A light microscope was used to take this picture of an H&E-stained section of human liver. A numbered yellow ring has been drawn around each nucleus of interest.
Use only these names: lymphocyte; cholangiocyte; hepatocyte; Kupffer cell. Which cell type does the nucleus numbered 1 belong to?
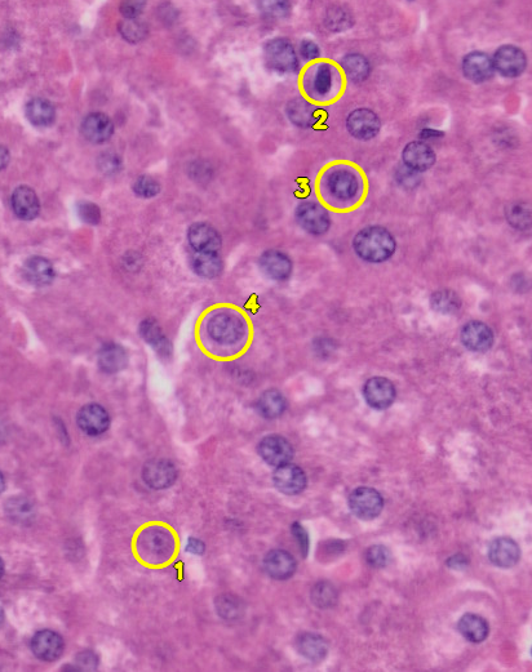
hepatocyte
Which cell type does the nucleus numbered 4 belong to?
hepatocyte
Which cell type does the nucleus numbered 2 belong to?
lymphocyte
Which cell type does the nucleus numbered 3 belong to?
hepatocyte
